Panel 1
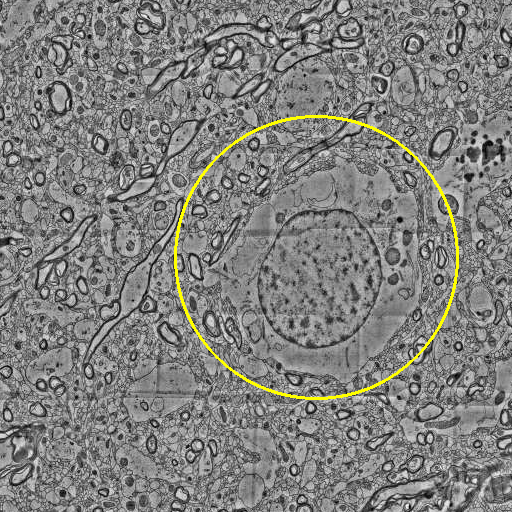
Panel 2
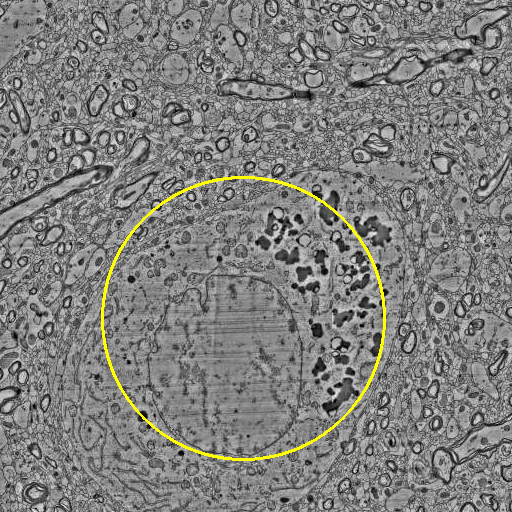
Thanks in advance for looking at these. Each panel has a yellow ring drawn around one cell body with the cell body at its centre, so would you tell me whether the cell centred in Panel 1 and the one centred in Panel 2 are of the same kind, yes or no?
no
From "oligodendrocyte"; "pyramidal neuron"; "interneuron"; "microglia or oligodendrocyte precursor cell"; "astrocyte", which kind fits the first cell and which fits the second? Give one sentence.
The cell marked in the first picture is an astrocyte, and the one marked in the second is a pyramidal neuron.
